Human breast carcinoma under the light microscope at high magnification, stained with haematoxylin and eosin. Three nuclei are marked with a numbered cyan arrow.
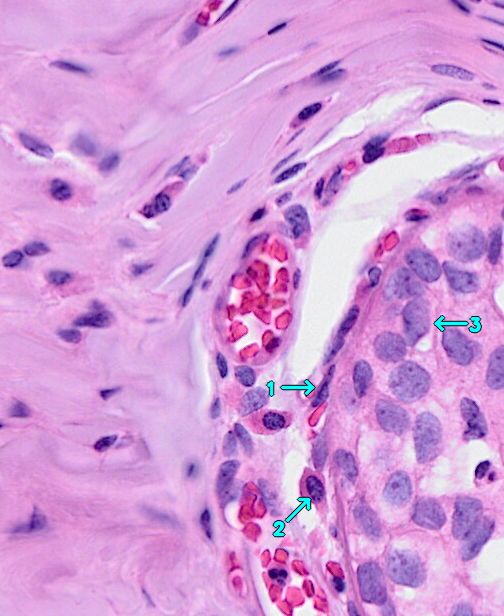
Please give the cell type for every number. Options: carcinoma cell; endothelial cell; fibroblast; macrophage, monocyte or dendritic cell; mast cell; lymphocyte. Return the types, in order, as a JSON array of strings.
["endothelial cell", "mast cell", "carcinoma cell"]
